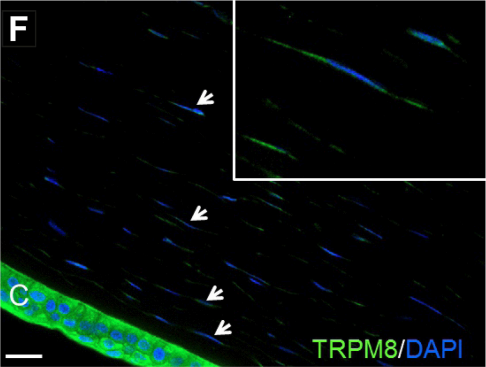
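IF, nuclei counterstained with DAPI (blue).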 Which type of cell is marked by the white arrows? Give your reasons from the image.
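Arrows point to thin, elongated, flattened nuclei. The nuclei lie spread out and aligned in parallel within a largely acellular layer. The layer lies above a compact multilayered cell sheet at the bottom edge. So: Stromal keratocytes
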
